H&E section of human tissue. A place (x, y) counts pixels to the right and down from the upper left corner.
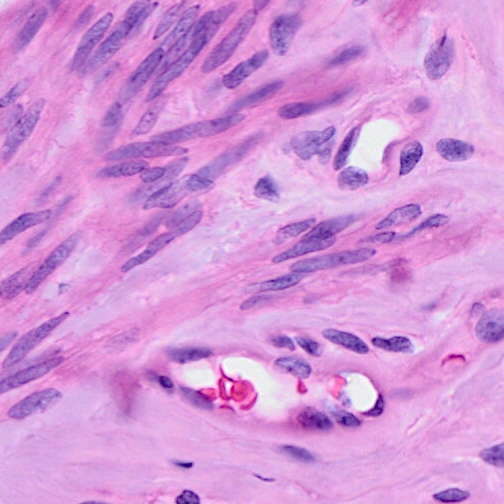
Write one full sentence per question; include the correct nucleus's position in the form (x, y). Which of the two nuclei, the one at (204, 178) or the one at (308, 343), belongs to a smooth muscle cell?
The nucleus at position (204, 178) belongs to a smooth muscle cell.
